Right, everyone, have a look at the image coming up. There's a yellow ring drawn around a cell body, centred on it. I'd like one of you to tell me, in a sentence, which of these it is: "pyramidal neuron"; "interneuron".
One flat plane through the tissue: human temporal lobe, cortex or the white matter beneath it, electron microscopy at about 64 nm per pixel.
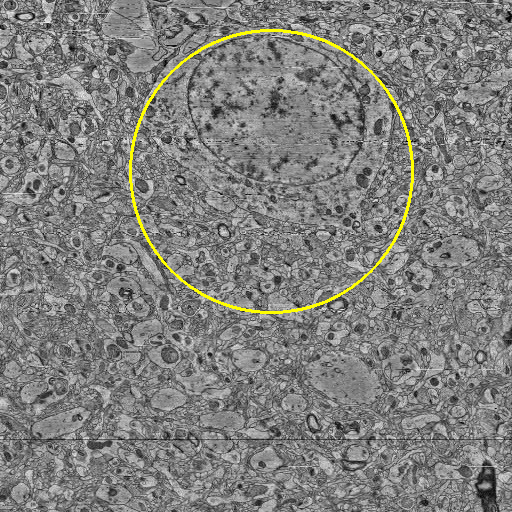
The yellow ring sits on a pyramidal neuron.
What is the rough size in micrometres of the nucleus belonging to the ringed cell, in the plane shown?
The ringed cell's nucleus measures approximately 12 by 10 micrometres in this plane.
